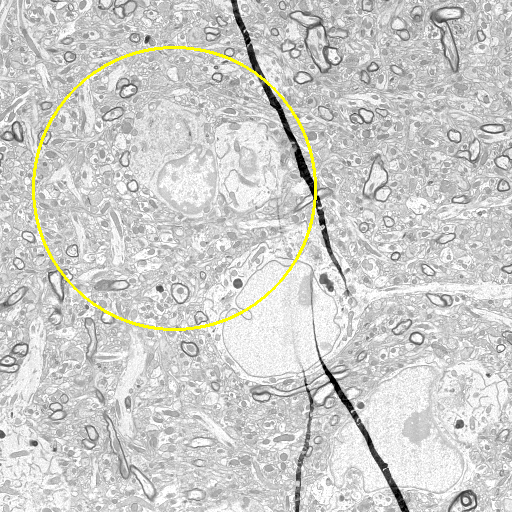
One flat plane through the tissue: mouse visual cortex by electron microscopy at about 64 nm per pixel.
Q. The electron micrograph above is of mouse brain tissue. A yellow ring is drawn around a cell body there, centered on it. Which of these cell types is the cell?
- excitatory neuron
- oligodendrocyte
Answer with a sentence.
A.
The cell under the ring's center is an oligodendrocyte.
